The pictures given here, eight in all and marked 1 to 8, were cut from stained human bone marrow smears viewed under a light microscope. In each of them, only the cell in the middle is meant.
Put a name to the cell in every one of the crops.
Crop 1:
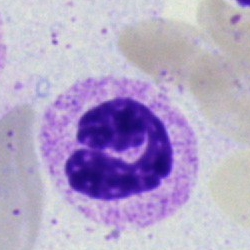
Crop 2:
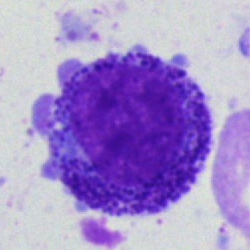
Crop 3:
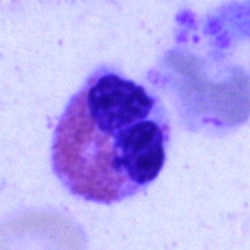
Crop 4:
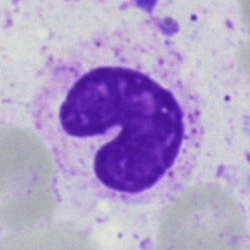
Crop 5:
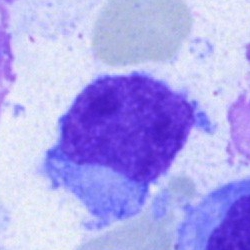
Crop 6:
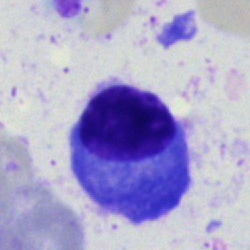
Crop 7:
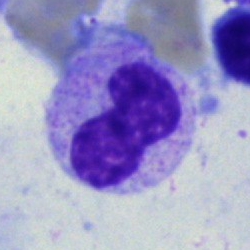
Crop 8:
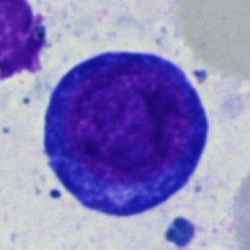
1: segmented neutrophil
2: promyelocyte
3: eosinophil
4: band neutrophil
5: hairy cell
6: plasma cell
7: band neutrophil
8: proerythroblast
